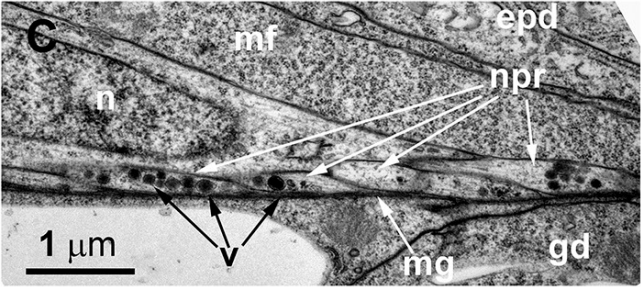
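The nerve processes are narrow, elongated profiles containing rows of small round vesicles with dark cores. Above them lie epidermal cell regions with finely granular contractile myofibrils and a nucleus with dispersed chromatin. Below the mesoglea the gastrodermis shows pale, electron-lucent spaces.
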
